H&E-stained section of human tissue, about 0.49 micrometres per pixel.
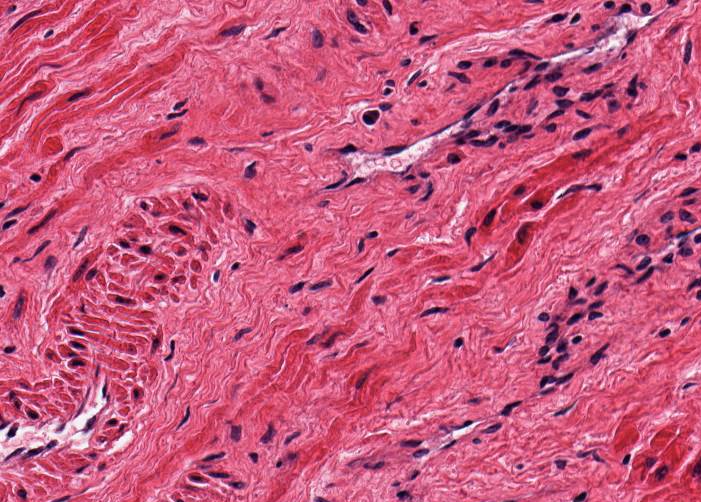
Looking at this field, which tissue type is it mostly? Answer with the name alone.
fibromuscular stroma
